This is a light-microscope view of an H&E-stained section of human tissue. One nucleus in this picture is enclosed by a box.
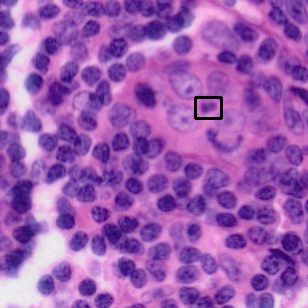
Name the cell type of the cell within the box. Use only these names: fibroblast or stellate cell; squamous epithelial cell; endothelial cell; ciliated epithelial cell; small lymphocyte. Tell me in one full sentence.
In this tissue section, the cell within the box is to be classed as an endothelial cell.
